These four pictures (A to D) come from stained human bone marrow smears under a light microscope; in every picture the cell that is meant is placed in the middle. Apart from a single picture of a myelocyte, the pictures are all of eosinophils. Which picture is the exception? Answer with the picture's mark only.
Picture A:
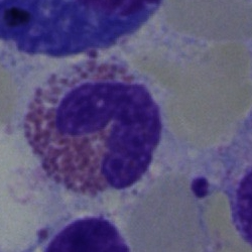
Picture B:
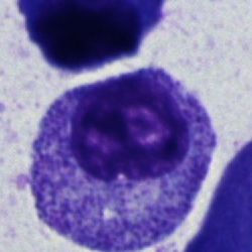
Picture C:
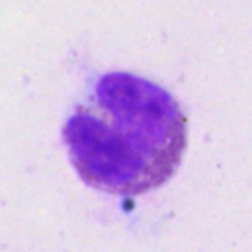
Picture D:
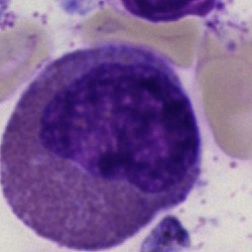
B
